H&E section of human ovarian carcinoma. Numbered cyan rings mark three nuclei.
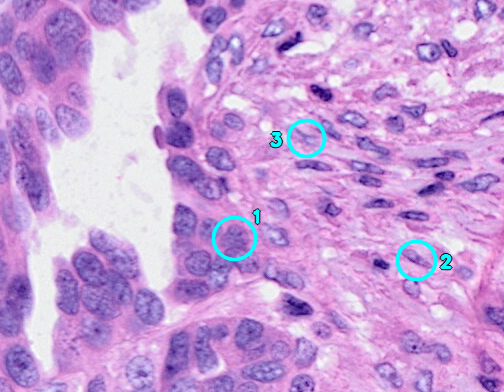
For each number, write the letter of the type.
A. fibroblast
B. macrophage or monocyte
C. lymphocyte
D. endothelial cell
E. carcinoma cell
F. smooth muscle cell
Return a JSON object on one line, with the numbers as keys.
{"1": "E", "2": "A", "3": "A"}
